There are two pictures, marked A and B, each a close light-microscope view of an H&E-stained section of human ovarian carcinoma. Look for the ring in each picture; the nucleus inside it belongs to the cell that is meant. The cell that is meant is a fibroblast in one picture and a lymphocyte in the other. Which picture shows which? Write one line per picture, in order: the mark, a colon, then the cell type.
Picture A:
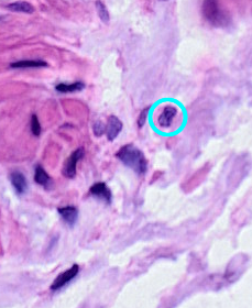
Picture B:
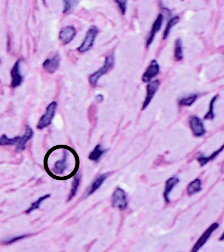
A: lymphocyte
B: fibroblast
